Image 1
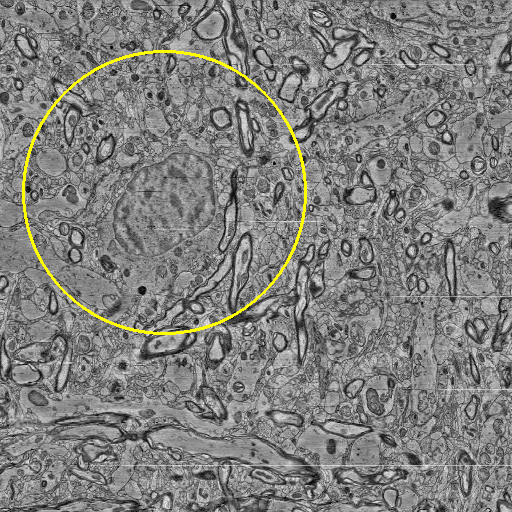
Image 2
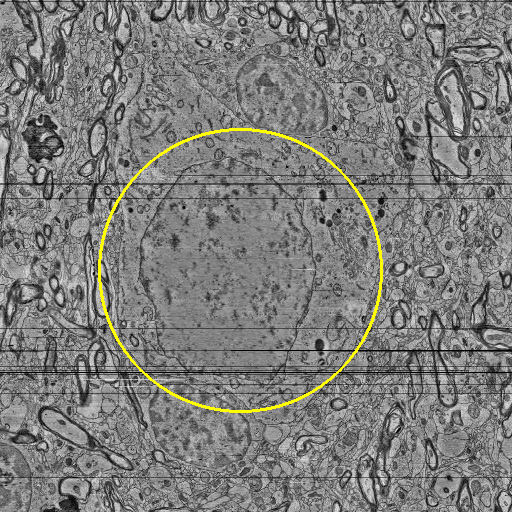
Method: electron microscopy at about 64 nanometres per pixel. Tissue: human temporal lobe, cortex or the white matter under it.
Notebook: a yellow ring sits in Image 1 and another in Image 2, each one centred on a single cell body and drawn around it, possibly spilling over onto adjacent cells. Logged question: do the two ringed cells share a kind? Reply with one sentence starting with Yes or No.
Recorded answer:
No, the centre cells inside the rings of Image 1 and Image 2 are of two kinds.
